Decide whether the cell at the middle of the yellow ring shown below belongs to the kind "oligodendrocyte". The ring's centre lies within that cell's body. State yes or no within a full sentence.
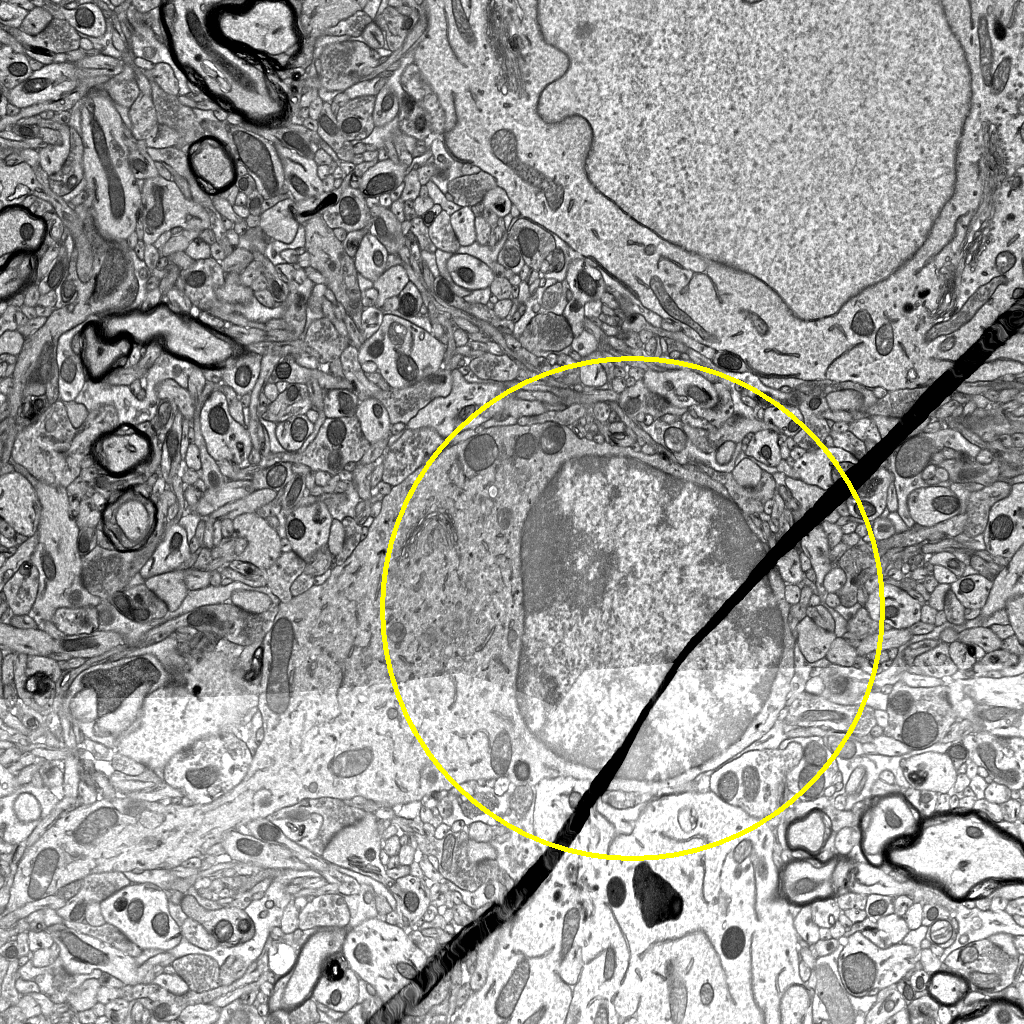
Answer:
Yes, the cell whose body lies at the ring's centre in the picture belongs to that kind.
